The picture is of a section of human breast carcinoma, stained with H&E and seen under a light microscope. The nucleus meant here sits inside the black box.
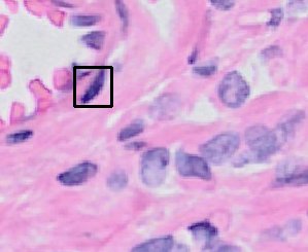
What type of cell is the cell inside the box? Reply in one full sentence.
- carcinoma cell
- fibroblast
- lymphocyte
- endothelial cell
The correct response here is that the cell inside the box is an endothelial cell.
